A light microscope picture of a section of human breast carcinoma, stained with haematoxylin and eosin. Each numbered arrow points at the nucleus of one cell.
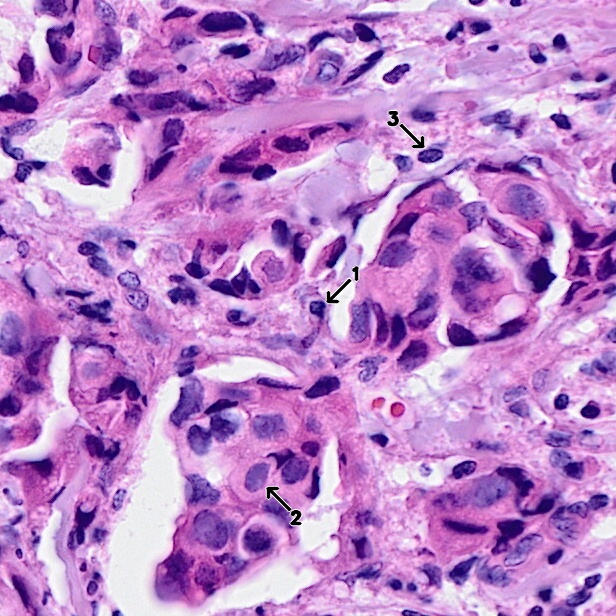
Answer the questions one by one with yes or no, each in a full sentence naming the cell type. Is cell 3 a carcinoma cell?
No, number 3 corresponds to a lymphocyte, not a carcinoma cell.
